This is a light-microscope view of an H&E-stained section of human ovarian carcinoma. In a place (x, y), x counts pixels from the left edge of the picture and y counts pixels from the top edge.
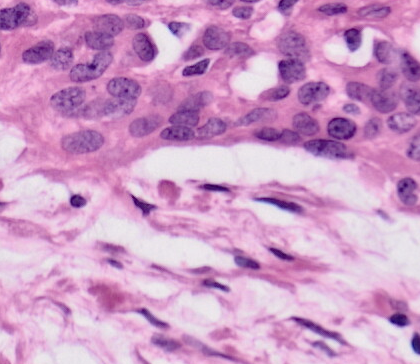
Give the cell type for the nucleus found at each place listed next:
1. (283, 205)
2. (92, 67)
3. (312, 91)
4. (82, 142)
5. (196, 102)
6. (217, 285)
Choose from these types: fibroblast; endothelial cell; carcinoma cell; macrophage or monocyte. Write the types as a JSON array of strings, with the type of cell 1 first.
["fibroblast", "carcinoma cell", "macrophage or monocyte", "carcinoma cell", "carcinoma cell", "fibroblast"]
